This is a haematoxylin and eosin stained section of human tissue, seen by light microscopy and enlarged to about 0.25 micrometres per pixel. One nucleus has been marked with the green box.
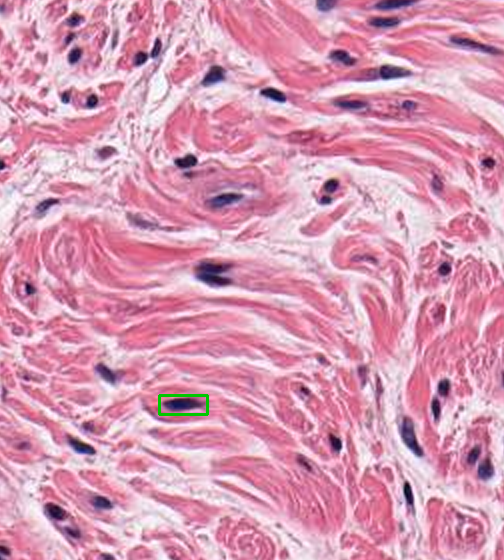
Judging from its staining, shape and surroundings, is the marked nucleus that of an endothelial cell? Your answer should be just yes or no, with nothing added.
no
